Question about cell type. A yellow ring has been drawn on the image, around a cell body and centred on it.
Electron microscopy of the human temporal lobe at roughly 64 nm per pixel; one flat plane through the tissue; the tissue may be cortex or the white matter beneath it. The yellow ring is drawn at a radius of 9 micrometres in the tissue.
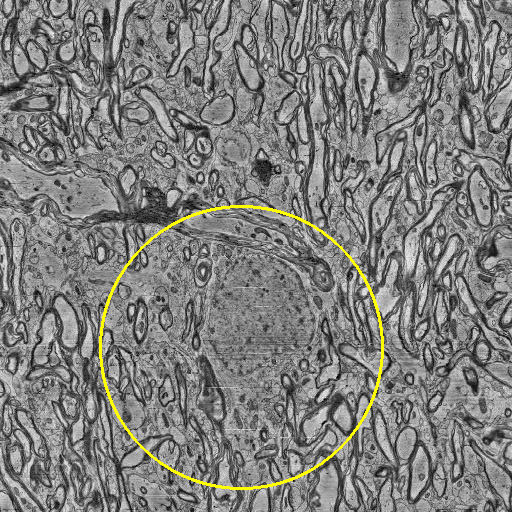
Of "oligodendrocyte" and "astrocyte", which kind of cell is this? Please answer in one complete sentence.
At the centre of the ring lies an astrocyte.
